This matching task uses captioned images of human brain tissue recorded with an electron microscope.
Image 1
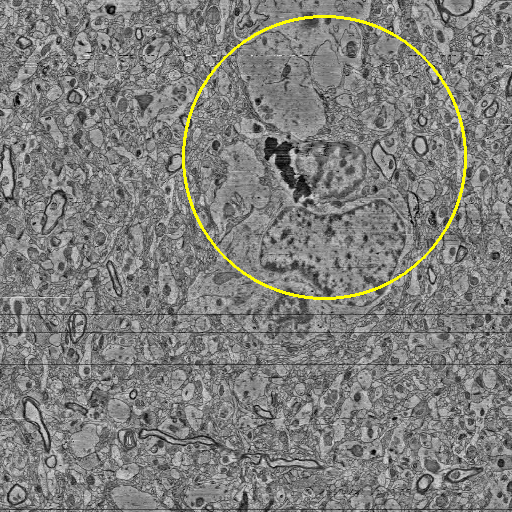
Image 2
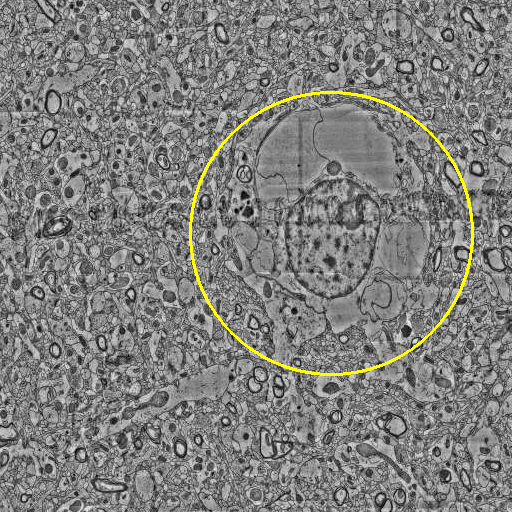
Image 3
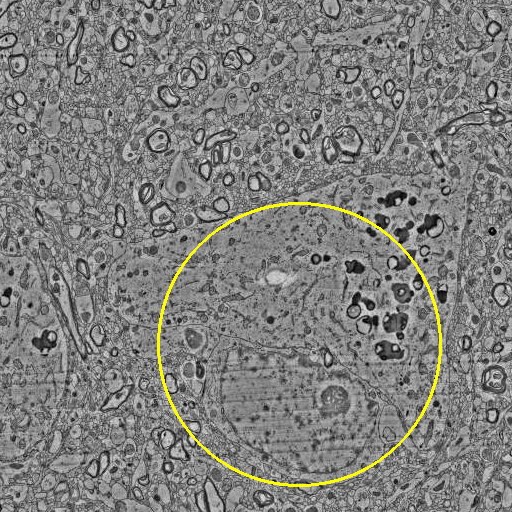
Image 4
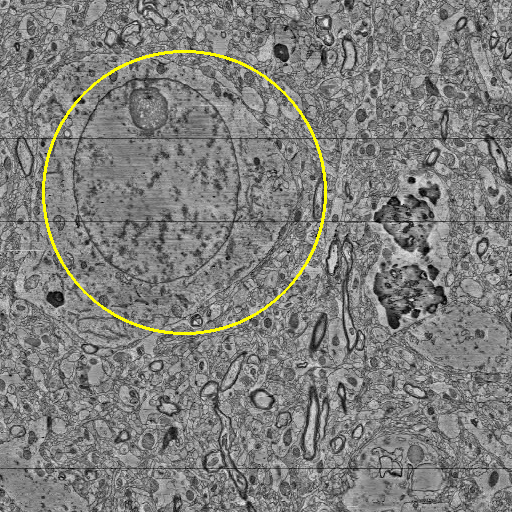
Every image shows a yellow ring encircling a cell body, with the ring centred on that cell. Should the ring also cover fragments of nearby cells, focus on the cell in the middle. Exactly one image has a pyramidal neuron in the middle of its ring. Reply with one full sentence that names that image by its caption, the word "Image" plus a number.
Image 4 shows the cell in question at the centre of its yellow ring.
